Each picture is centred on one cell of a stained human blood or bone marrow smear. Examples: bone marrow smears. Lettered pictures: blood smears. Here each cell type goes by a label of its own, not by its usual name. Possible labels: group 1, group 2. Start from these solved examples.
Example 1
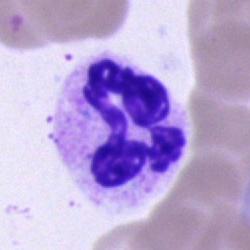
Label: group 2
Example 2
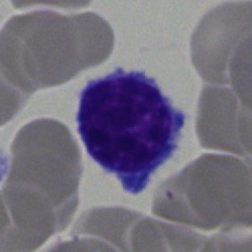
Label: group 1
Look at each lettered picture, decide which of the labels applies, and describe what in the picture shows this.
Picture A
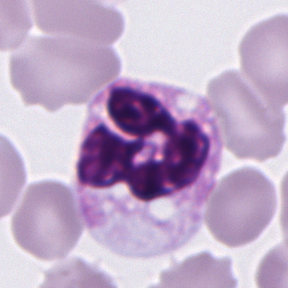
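group 2: The cytoplasm is plentiful and pale pinkish-lilac.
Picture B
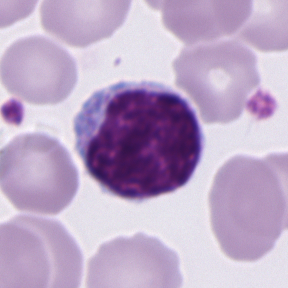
group 1: The cytoplasm forms a thin rim that is widest on the left side.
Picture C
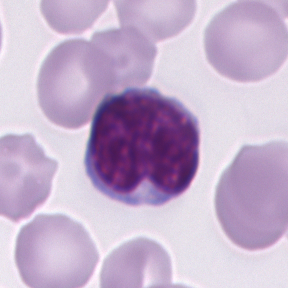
group 1: The cytoplasm forms a thin rim that is widest below the nucleus.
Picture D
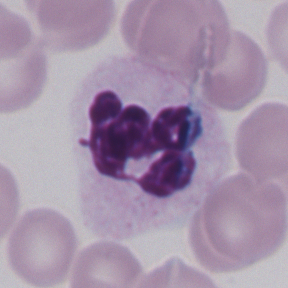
group 2: The cytoplasm is plentiful and pale pink.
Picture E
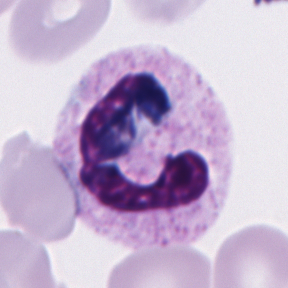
group 2: The cytoplasm is plentiful and pale pink-lilac.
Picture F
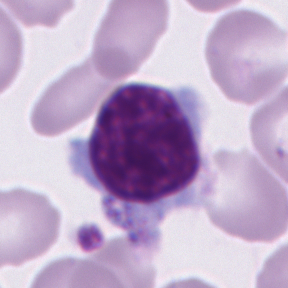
group 1: The nucleus fills most of the cell.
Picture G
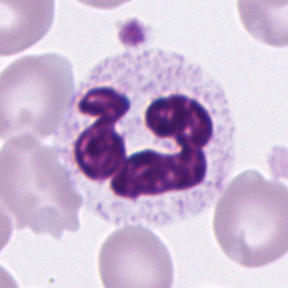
group 2: The cytoplasm is ample and very pale pinkish-lilac.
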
